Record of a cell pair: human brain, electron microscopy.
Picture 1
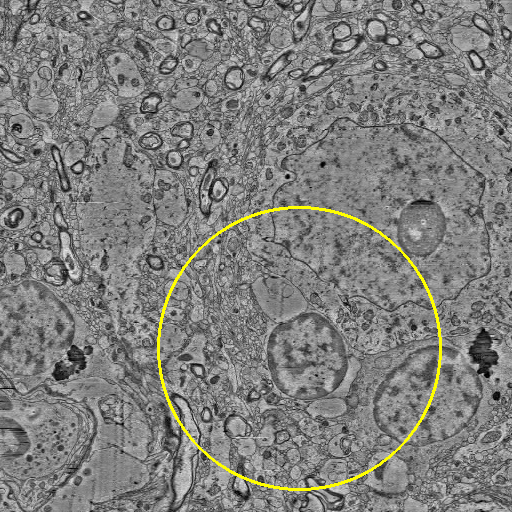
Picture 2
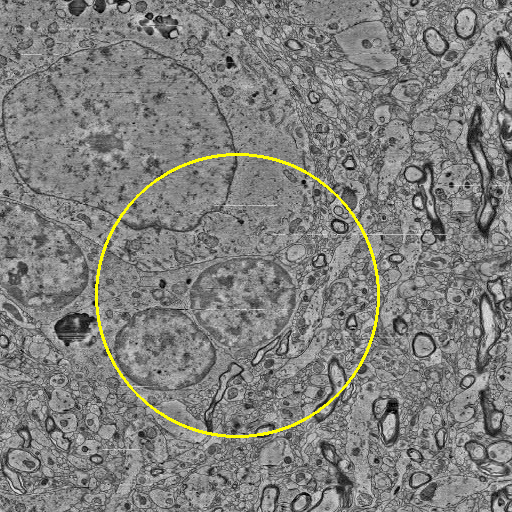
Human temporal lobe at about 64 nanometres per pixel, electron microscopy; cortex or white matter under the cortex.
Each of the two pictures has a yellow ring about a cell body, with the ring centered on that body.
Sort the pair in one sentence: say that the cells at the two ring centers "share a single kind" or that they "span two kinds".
The cells centered in the rings of Pictures 1 and 2 span two kinds.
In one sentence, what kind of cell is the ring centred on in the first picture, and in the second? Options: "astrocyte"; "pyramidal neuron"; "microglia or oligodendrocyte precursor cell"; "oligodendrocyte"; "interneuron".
The cell at the centre of the second ring is an oligodendrocyte; the first ring's cell is a microglial cell or oligodendrocyte precursor cell.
